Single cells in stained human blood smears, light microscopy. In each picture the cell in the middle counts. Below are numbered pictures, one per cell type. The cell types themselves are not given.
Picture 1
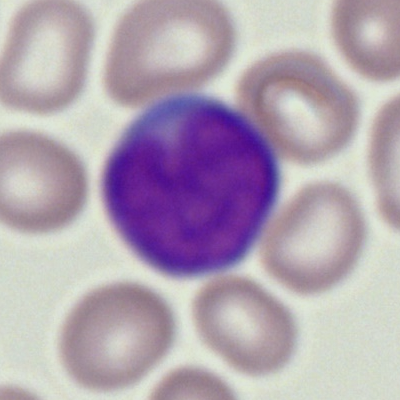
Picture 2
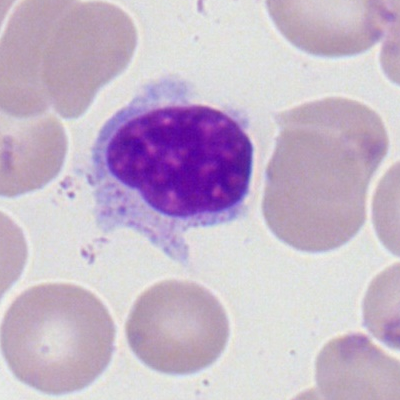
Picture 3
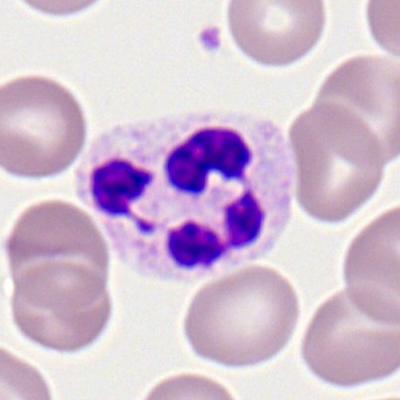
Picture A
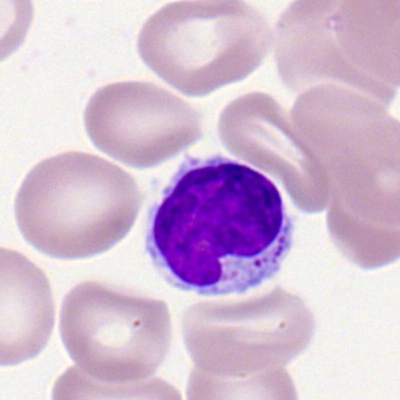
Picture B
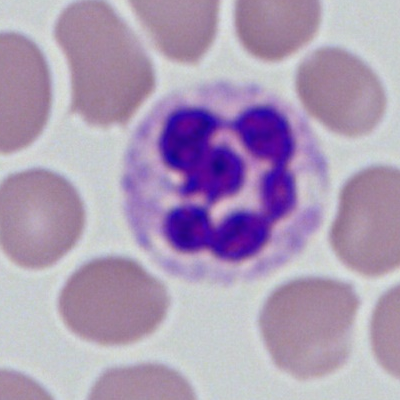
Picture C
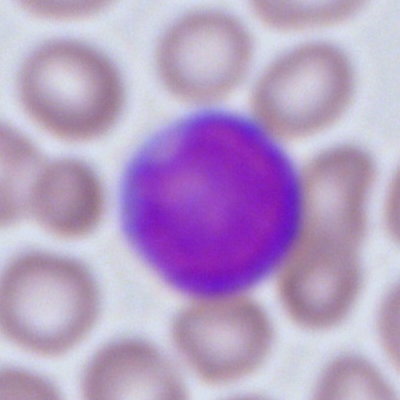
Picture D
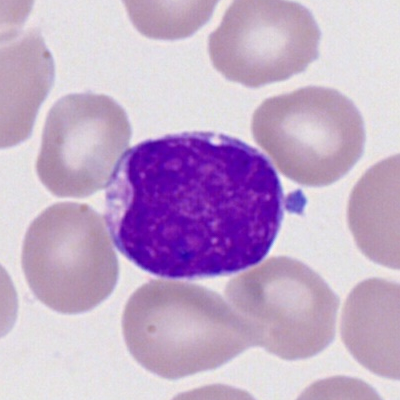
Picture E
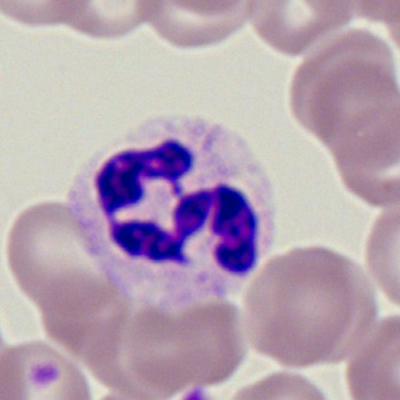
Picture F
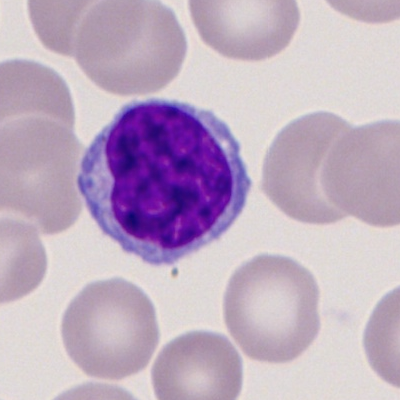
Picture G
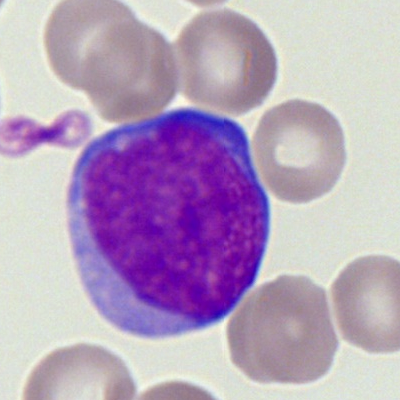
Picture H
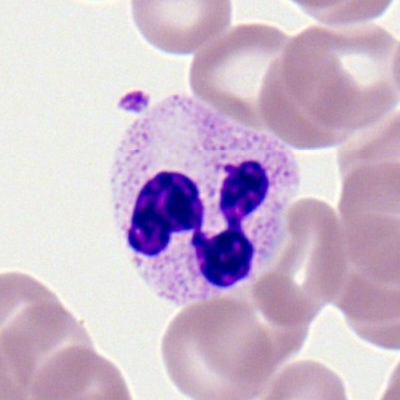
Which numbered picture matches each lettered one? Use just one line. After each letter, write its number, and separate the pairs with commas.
A 2, B 3, C 1, D 1, E 3, F 2, G 1, H 3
